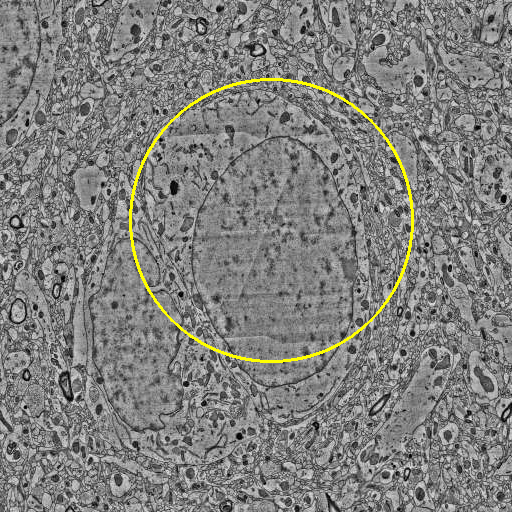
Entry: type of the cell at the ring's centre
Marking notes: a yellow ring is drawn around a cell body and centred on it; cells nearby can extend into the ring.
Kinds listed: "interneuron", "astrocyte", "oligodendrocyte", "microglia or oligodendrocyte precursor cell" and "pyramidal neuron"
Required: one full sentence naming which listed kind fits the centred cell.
My entry names a pyramidal neuron as the cell whose body the yellow ring centres on.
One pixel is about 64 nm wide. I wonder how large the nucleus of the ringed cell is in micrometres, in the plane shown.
About 16 by 11 micrometres in this plane; clearly longer than it is wide.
